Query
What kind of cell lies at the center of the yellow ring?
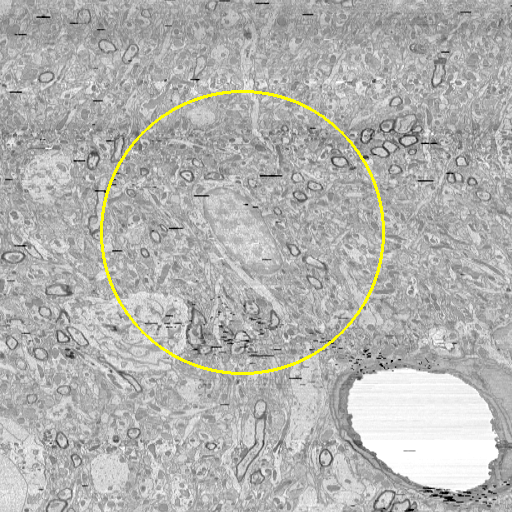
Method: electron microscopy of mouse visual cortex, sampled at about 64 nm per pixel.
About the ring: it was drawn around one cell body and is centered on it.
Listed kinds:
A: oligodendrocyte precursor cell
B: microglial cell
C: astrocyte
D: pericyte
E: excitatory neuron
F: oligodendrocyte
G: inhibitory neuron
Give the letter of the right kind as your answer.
F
